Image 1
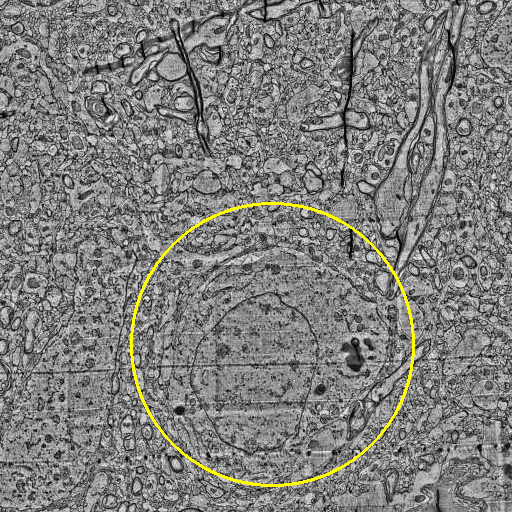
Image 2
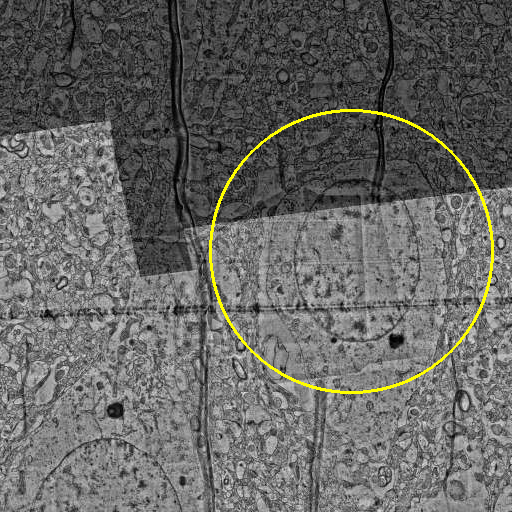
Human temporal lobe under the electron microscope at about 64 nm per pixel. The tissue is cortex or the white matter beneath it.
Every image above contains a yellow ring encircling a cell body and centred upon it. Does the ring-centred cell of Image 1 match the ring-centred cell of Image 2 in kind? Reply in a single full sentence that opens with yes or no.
Yes, the cell at the ring's centre in Image 1 is the same kind as that in Image 2.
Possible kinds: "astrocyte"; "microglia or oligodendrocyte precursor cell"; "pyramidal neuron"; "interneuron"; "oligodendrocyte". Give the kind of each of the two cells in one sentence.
Each cell, in the first picture and the second, is a pyramidal neuron.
